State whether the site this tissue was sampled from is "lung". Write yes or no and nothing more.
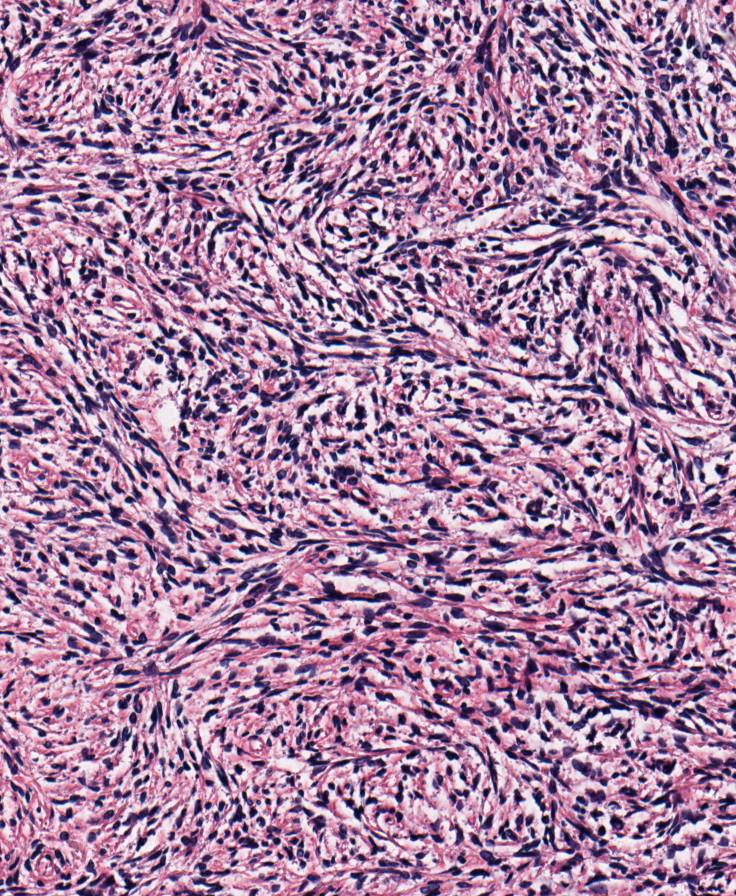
no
